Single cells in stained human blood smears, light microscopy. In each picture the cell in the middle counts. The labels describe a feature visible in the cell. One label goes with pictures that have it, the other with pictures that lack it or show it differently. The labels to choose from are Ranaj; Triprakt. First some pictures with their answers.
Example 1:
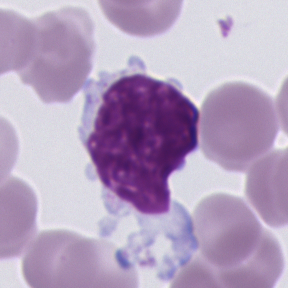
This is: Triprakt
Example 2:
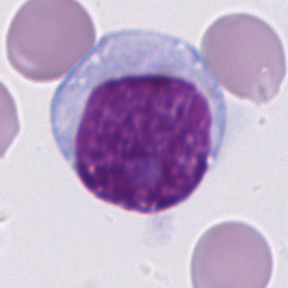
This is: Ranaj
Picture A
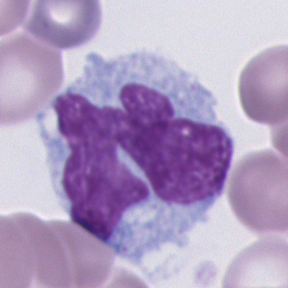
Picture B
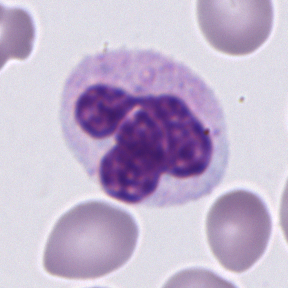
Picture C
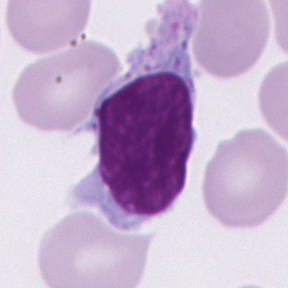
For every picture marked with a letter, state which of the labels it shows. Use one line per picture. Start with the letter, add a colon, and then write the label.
A: Triprakt
B: Ranaj
C: Triprakt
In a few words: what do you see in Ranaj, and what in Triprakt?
Ranaj, smooth outline; Triprakt, ragged outline or projections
